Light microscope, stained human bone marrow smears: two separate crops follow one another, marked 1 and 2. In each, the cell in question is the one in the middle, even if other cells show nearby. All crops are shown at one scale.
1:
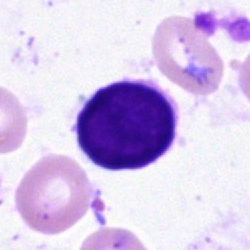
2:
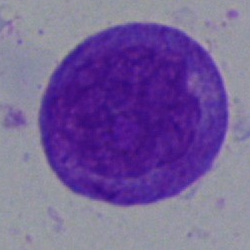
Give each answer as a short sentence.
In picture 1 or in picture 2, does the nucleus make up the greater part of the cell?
It is the cell in picture 1 that is filled more by its nucleus.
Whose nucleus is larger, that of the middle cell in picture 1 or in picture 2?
It is the nucleus in picture 2, about 2.5 times as large in area as the one in picture 1.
